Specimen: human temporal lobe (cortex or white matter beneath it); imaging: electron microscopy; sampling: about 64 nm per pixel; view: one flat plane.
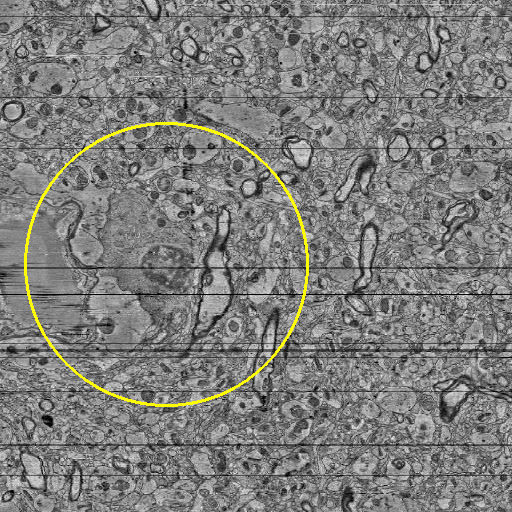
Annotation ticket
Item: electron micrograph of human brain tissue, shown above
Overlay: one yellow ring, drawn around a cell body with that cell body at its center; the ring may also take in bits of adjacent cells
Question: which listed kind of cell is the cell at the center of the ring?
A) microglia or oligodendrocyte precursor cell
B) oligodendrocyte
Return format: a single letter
B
